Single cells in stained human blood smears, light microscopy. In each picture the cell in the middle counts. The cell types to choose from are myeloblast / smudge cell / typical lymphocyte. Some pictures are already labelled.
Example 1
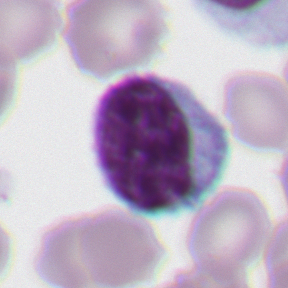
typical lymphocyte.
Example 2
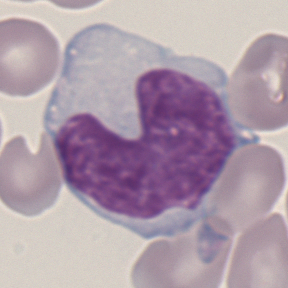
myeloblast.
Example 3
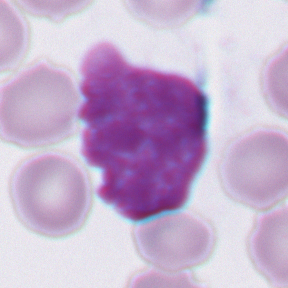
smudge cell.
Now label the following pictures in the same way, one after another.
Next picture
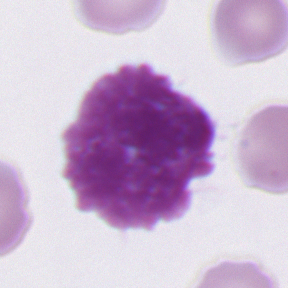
smudge cell.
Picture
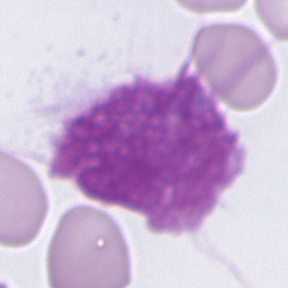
smudge cell.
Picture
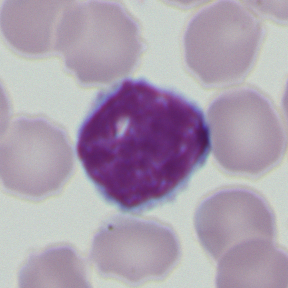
typical lymphocyte.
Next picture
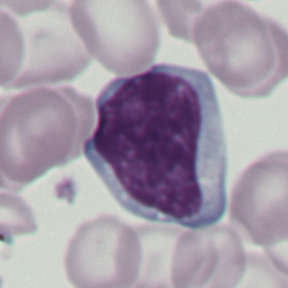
typical lymphocyte.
